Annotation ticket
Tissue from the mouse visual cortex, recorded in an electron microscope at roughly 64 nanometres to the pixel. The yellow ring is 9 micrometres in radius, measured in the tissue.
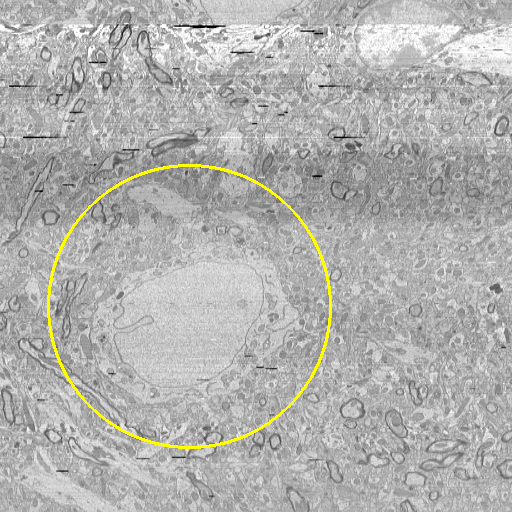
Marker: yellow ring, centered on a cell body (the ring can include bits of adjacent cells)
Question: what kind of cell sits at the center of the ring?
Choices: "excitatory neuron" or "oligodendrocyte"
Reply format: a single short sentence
The ring is centered on an excitatory neuron.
